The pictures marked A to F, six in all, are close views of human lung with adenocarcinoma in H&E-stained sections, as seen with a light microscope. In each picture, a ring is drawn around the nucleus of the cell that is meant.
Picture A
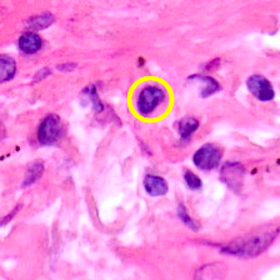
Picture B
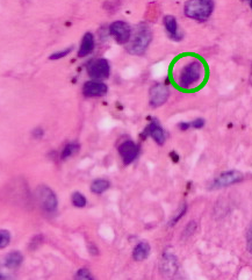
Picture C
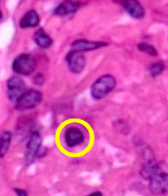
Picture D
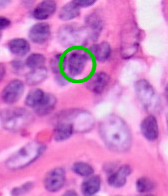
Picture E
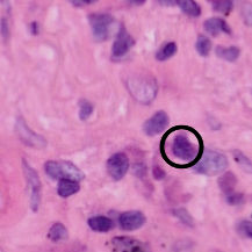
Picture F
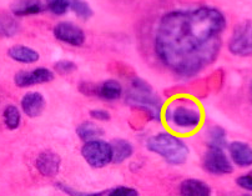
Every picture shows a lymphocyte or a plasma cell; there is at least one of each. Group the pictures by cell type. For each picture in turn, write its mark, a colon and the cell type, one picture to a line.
A: plasma cell
B: plasma cell
C: plasma cell
D: lymphocyte
E: plasma cell
F: lymphocyte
